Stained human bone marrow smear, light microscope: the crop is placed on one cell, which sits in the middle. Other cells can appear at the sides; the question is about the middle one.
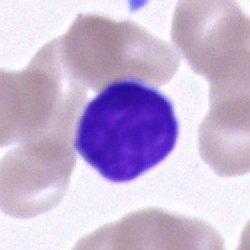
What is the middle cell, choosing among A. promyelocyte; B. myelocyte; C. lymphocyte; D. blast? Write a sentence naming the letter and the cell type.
The central cell, a lymphocyte, is correctly identified by option C.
